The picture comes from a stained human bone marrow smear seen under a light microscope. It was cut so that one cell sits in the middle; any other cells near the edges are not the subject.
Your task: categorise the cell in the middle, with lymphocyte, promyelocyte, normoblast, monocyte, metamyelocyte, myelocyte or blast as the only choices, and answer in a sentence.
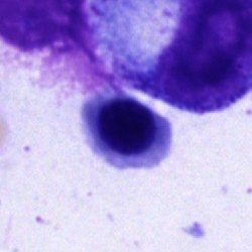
At the middle of the frame sits a normoblast.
